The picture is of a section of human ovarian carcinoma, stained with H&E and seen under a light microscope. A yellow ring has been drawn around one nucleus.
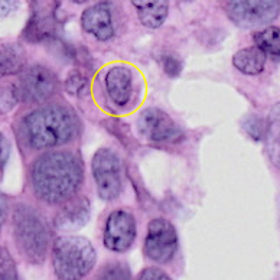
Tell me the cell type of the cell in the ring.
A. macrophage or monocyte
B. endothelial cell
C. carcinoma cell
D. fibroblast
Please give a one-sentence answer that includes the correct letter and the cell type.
Option A properly identifies the cell in the ring as a macrophage or monocyte.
